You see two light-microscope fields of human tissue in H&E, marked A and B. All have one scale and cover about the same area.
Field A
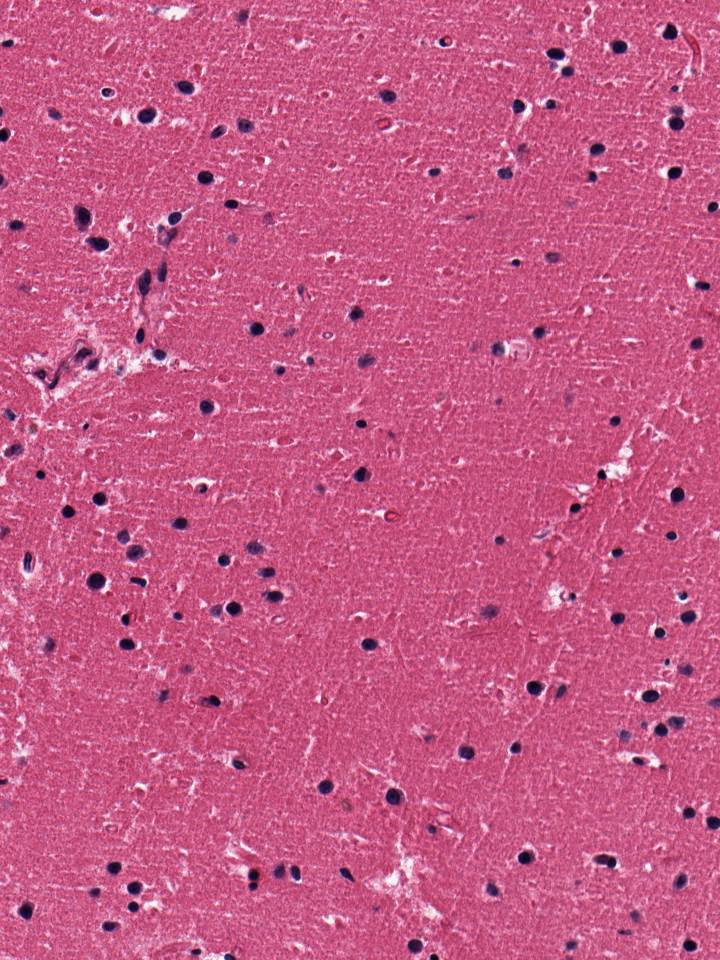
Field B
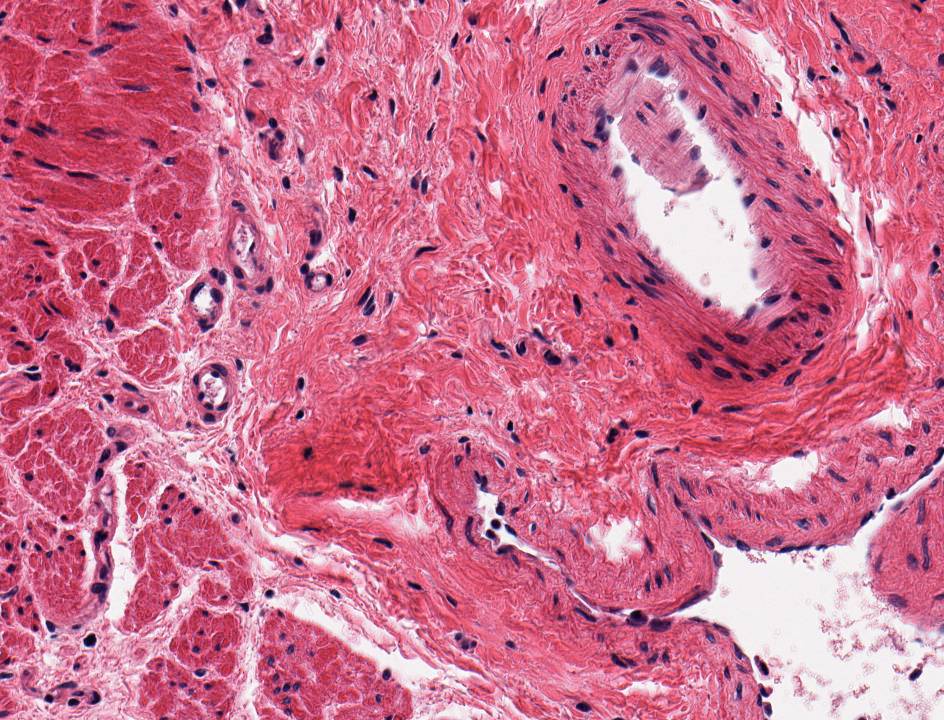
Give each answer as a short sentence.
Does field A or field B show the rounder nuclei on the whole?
Rounder nuclei lie in field A.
